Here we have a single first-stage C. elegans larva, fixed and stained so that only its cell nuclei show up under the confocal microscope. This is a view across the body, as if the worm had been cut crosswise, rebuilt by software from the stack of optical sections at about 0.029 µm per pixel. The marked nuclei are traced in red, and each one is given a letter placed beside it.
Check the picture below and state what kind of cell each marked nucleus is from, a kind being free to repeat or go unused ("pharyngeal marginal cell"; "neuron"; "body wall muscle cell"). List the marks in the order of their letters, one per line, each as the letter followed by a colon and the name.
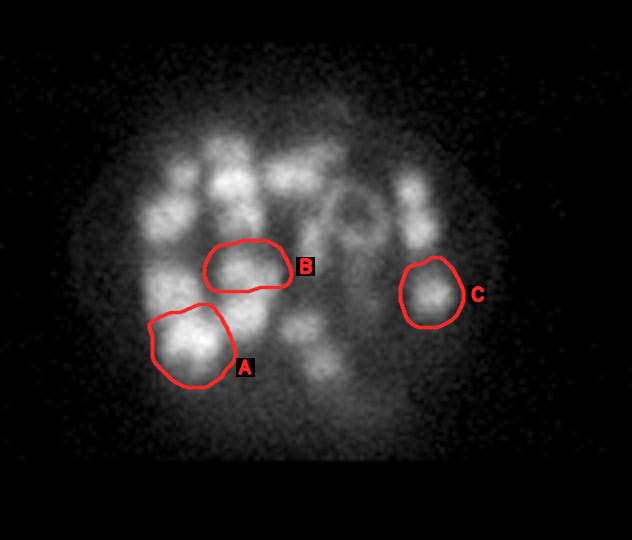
A: neuron
B: pharyngeal marginal cell
C: body wall muscle cell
